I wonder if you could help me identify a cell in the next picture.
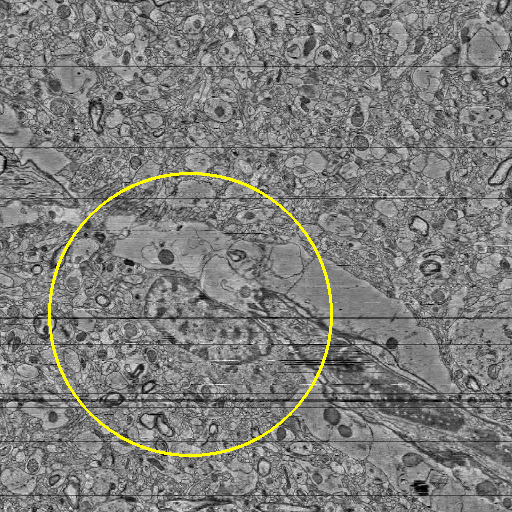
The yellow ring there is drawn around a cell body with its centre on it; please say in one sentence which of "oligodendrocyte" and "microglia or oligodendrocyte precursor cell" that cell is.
The yellow ring is centred on an oligodendrocyte.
